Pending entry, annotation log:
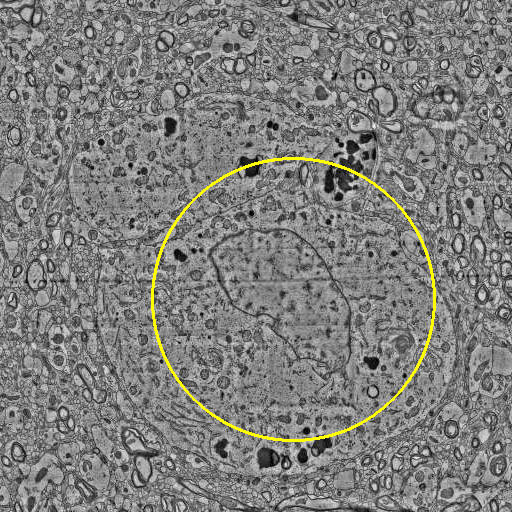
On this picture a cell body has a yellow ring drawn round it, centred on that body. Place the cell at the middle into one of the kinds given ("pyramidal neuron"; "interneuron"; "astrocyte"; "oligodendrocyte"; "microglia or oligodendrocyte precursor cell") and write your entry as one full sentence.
The cell body at the middle of the yellow ring belongs to a pyramidal neuron.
